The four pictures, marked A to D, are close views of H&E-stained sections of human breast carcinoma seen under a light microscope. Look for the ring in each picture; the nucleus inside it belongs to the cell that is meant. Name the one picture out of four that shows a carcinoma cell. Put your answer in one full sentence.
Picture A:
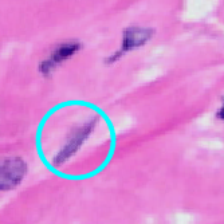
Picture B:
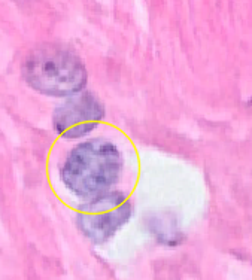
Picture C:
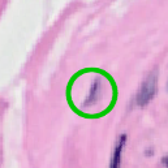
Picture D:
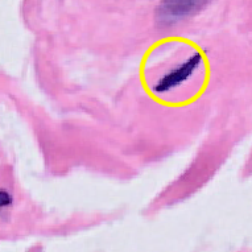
The carcinoma cell is the one in picture B.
